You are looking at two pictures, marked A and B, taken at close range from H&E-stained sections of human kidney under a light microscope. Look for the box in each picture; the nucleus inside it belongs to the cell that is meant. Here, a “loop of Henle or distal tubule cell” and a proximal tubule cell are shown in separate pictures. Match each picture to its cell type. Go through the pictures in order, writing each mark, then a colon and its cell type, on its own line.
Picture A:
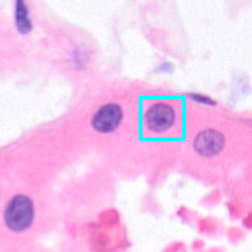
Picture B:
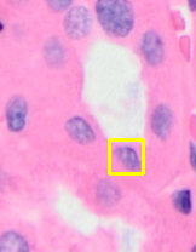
A: proximal tubule cell
B: loop of Henle or distal tubule cell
